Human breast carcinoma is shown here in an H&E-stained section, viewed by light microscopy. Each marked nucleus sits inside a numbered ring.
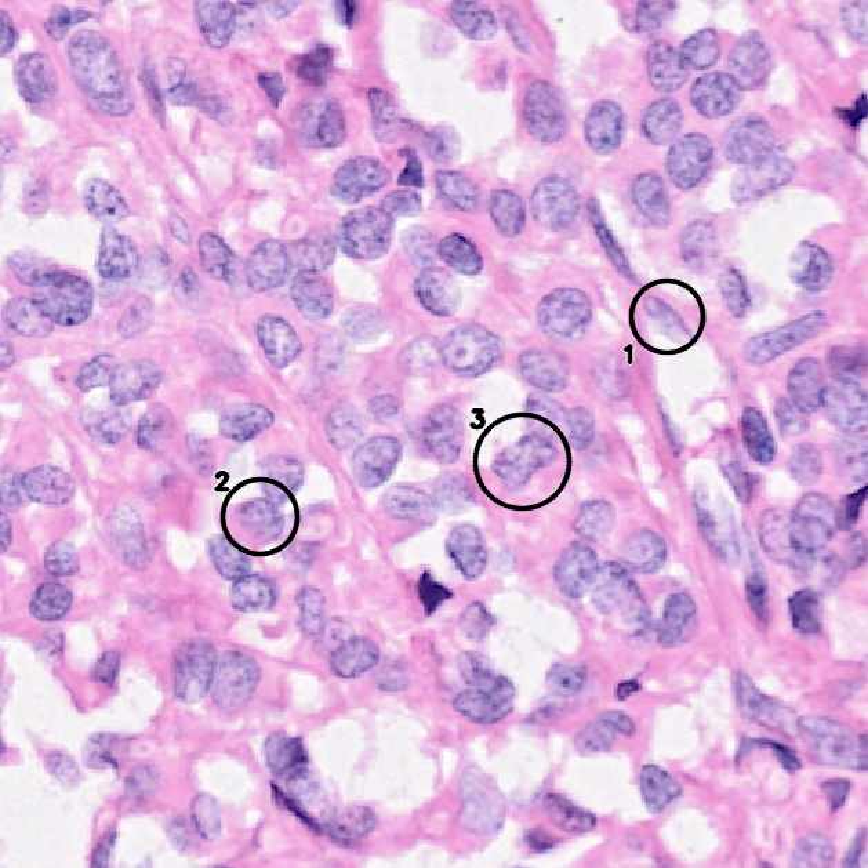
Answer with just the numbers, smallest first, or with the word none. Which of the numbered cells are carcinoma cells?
2, 3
